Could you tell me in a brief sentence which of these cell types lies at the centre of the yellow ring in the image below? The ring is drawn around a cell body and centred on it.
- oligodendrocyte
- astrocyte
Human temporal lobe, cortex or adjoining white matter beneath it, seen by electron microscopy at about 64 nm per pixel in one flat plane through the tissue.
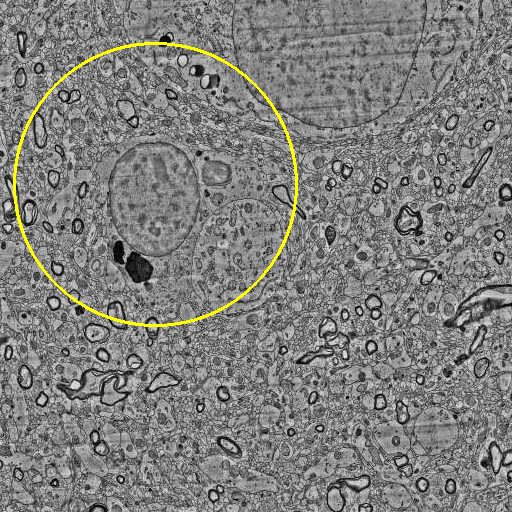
The cell centred in the ring is an oligodendrocyte.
